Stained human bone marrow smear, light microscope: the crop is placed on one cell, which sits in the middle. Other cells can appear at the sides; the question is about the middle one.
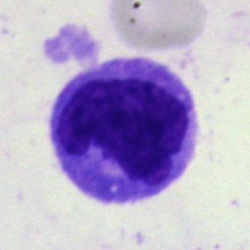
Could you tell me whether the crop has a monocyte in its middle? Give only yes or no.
yes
